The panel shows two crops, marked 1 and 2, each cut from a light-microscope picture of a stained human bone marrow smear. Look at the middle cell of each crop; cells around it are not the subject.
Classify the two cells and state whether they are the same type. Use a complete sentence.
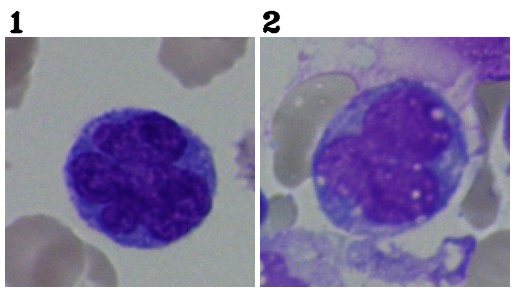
Yes, monocytes are at the centre in both crops.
